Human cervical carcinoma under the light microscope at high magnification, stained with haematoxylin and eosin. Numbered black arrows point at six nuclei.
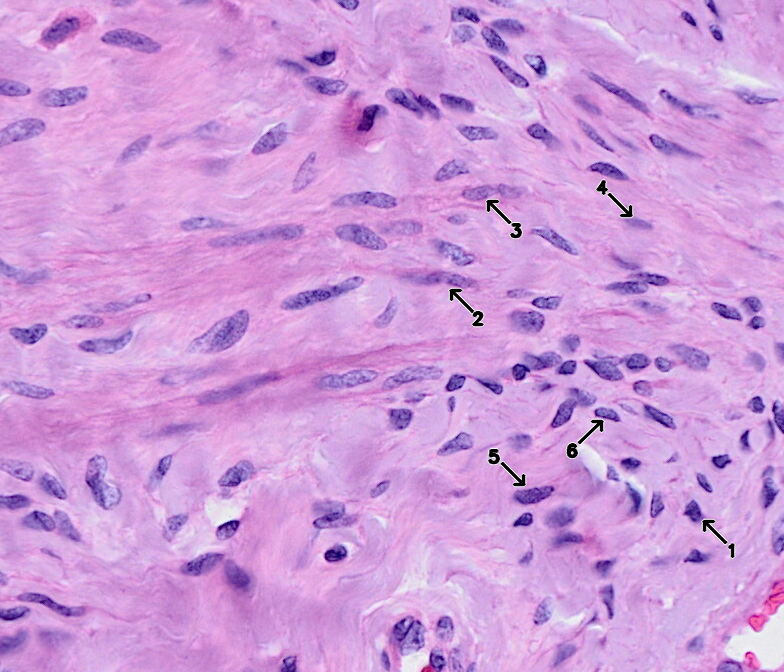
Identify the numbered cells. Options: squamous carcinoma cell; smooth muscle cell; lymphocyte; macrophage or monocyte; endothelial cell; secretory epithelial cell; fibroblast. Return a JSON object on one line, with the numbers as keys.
{"1": "fibroblast", "2": "smooth muscle cell", "3": "smooth muscle cell", "4": "fibroblast", "5": "fibroblast", "6": "fibroblast"}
